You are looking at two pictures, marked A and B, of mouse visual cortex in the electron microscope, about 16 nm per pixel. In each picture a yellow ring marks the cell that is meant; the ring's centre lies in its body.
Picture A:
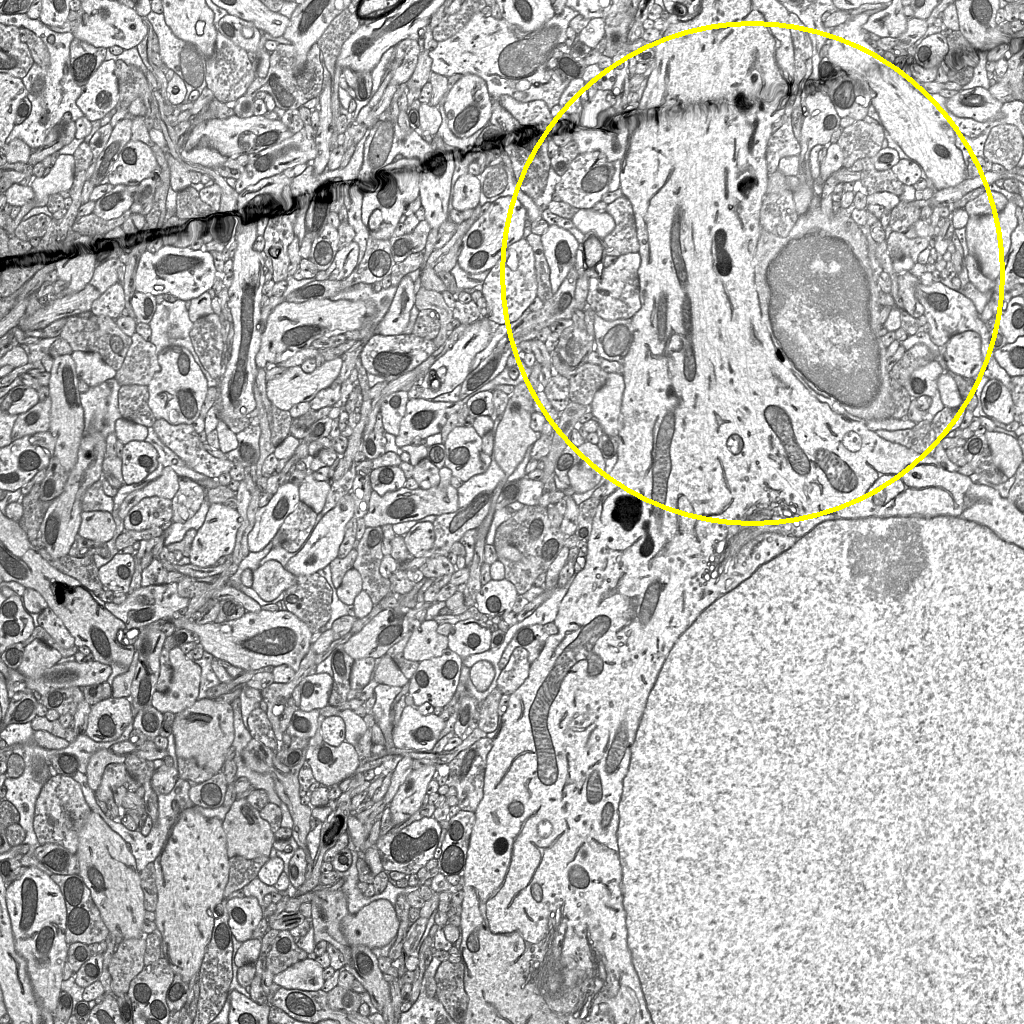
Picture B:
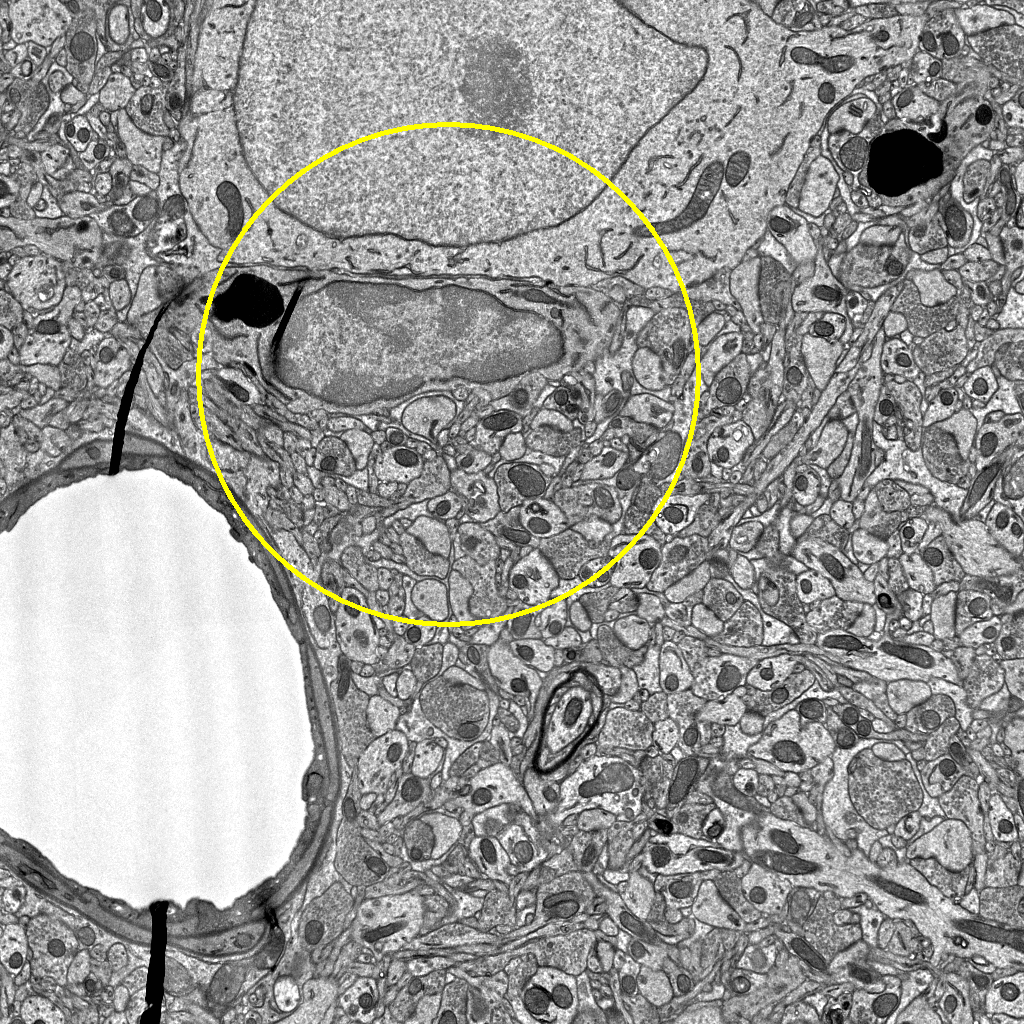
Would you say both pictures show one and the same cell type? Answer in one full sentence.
Yes, both are microglial cells.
